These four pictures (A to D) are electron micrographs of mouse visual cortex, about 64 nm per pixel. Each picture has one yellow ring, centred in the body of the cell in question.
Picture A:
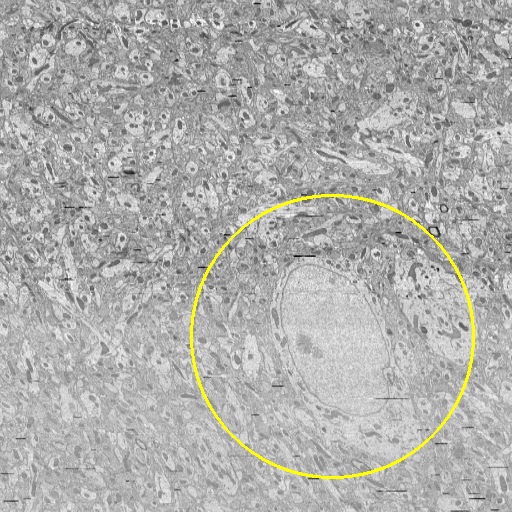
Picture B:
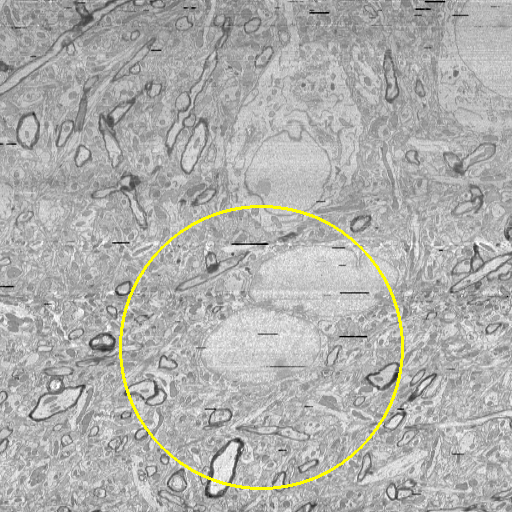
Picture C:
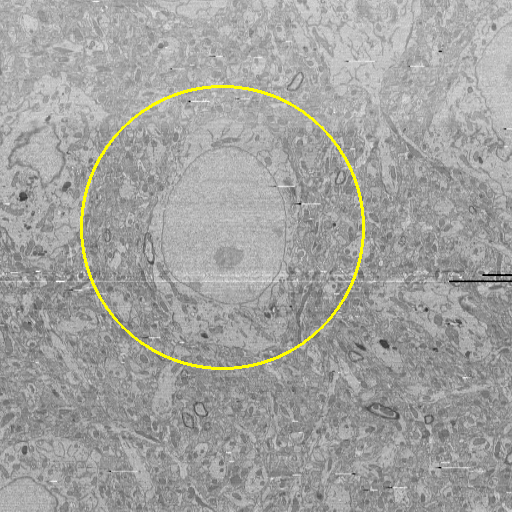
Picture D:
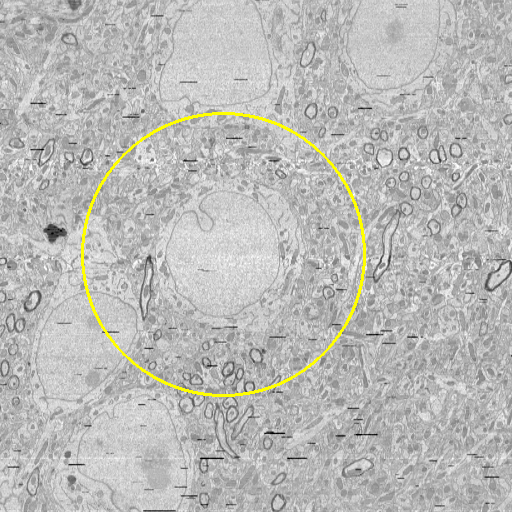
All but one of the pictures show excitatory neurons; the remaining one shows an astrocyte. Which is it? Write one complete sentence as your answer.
It is picture B that shows the astrocyte.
